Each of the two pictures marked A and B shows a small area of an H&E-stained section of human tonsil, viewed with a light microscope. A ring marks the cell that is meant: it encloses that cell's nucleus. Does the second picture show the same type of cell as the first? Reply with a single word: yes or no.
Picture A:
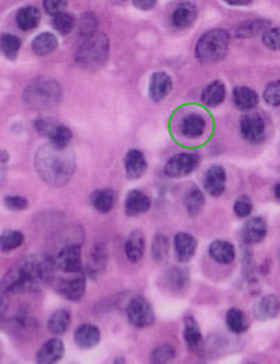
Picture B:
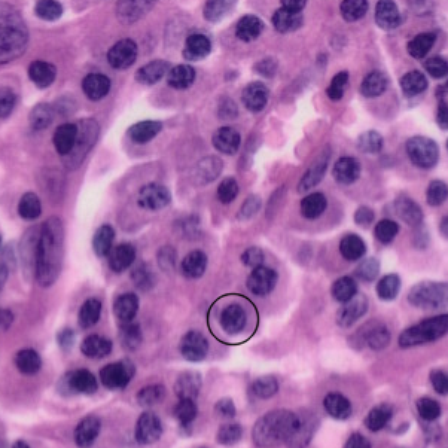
yes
